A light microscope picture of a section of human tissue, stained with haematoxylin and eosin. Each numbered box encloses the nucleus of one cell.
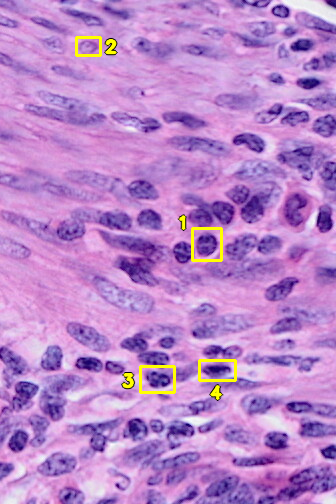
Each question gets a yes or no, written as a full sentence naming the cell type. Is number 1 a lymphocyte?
Yes, the cell bearing the number 1 is a lymphocyte.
